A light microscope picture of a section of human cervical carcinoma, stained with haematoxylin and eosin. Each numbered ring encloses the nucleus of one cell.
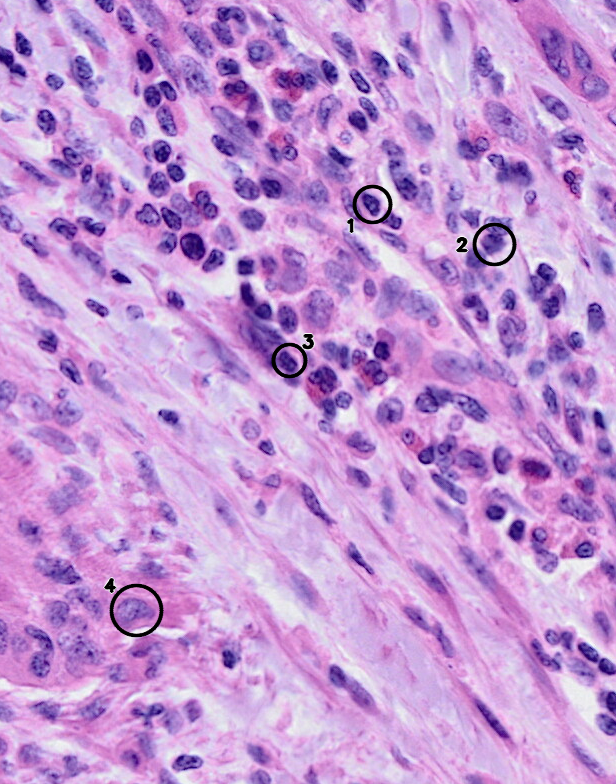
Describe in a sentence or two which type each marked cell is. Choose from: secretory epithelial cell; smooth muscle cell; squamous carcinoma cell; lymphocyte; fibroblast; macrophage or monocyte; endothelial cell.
Cells 1, 2 and 3 are lymphocytes. Cell 4 is a squamous carcinoma cell.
